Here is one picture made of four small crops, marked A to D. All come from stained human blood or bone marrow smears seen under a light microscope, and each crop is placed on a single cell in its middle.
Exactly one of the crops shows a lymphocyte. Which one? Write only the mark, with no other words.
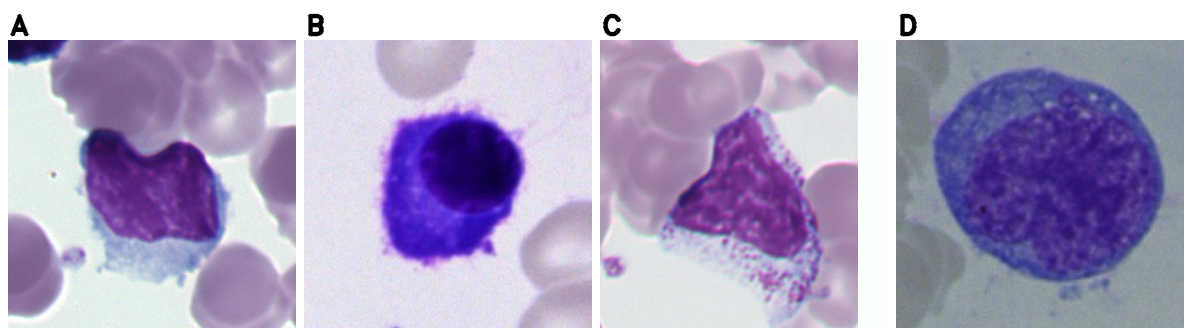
A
